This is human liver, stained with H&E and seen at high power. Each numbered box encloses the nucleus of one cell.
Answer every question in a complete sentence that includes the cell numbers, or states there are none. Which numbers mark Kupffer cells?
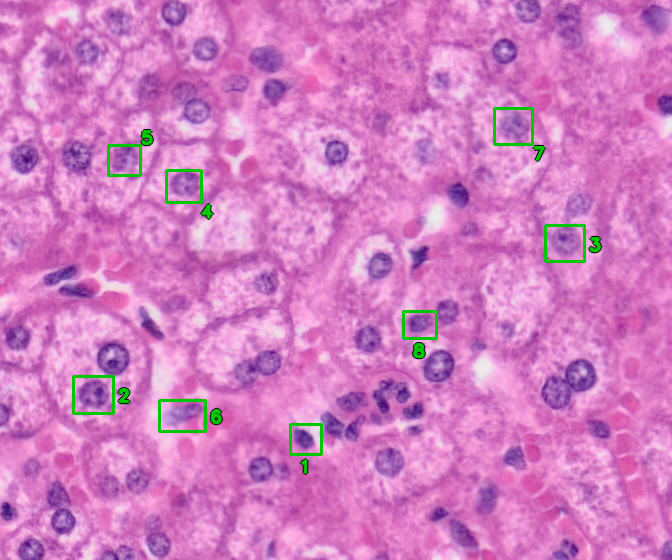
Marked by the numbers 6 and 8 are cells that are Kupffer cells.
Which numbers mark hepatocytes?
The cells carrying the numbers 2, 3, 4, 5 and 7 are hepatocytes.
